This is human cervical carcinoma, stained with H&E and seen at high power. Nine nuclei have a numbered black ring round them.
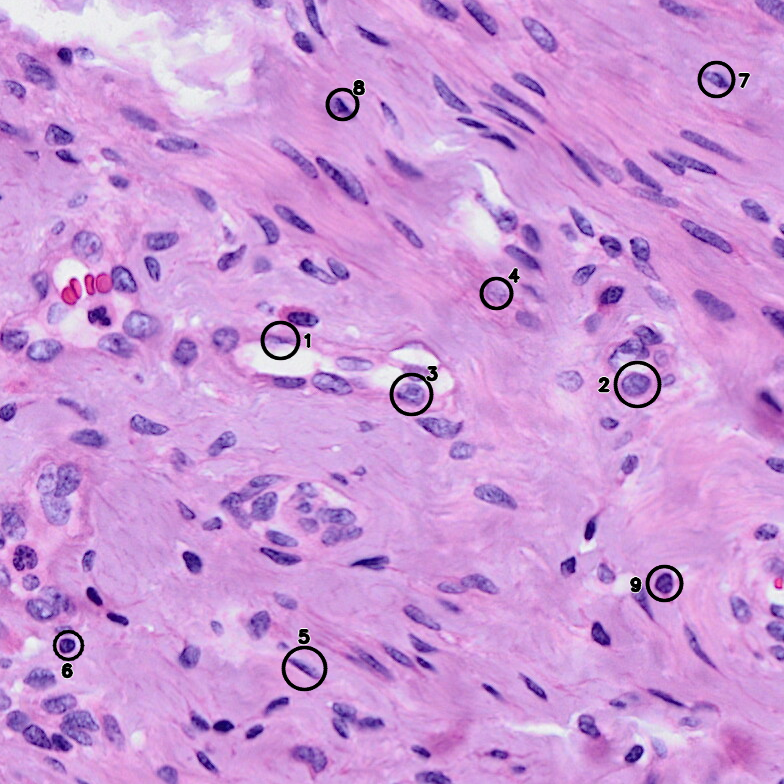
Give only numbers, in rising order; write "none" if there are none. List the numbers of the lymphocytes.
6, 9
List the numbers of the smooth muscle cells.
4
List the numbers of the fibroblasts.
5, 7, 8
